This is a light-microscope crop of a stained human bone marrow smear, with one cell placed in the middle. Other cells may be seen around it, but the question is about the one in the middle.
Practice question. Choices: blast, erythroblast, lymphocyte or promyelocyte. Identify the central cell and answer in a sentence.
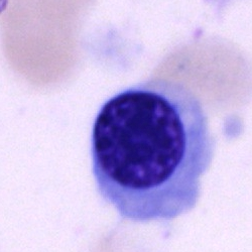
The cell around which this crop is centred is an erythroblast.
